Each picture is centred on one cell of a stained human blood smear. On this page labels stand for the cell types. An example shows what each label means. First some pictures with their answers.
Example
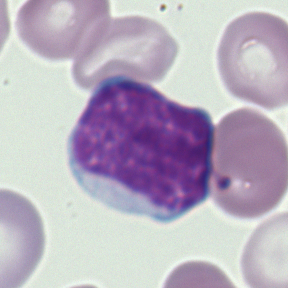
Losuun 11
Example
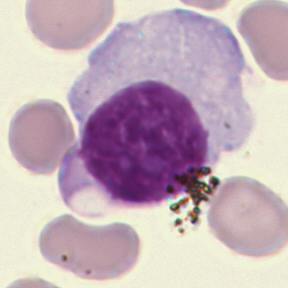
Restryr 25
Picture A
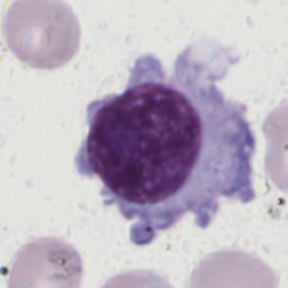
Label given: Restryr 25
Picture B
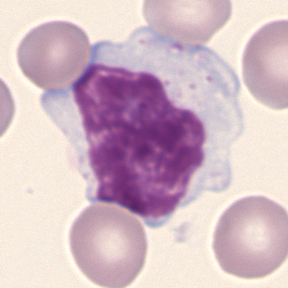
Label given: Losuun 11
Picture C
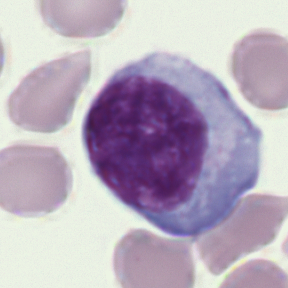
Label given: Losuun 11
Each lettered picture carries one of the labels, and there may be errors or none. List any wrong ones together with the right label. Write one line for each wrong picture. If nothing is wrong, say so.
C: not Losuun 11 but Restryr 25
